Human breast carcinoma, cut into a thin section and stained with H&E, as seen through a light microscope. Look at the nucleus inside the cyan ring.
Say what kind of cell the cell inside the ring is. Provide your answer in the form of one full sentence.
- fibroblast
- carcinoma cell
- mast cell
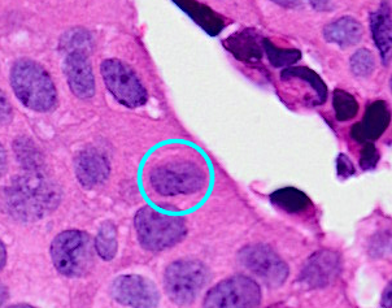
In this section of tissue, the cell inside the ring is a carcinoma cell.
